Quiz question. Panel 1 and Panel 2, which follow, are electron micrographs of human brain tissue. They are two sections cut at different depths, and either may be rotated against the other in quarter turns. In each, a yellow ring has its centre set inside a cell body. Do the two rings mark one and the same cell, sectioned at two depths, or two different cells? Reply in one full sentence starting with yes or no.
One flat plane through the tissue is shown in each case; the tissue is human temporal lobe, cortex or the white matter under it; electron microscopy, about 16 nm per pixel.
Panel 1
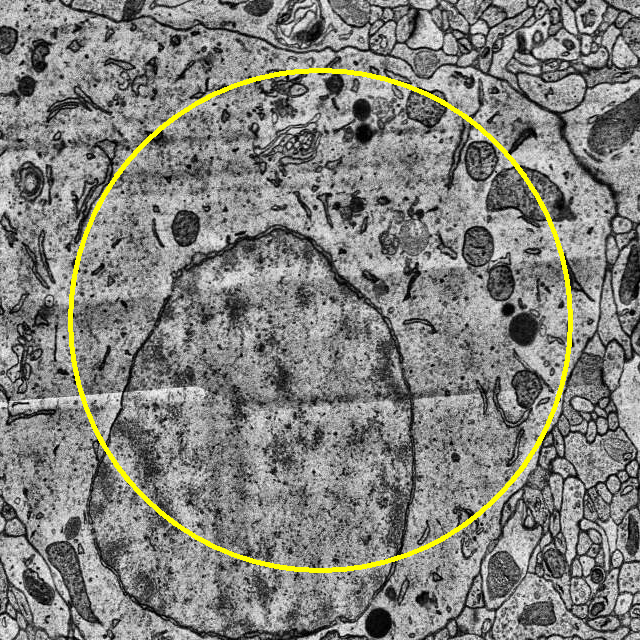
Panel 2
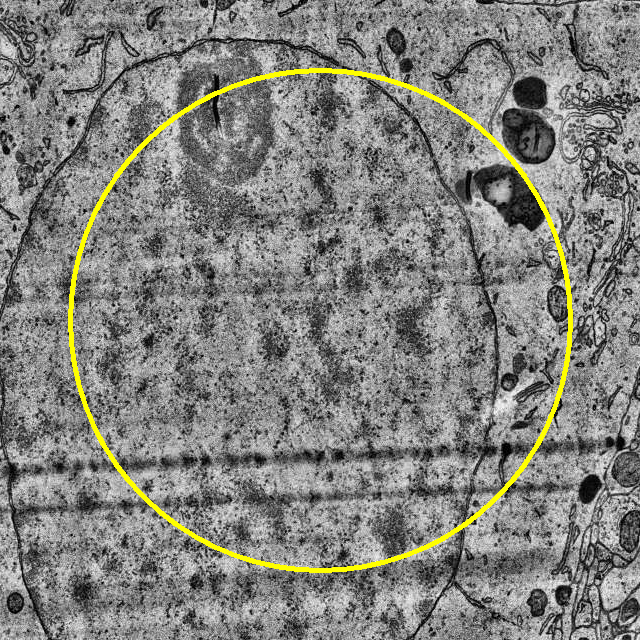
Yes, the two rings encircle a single cell, not a pair.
